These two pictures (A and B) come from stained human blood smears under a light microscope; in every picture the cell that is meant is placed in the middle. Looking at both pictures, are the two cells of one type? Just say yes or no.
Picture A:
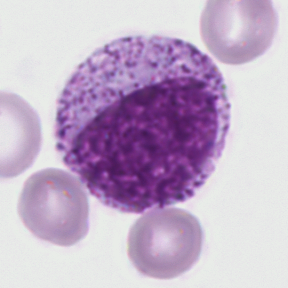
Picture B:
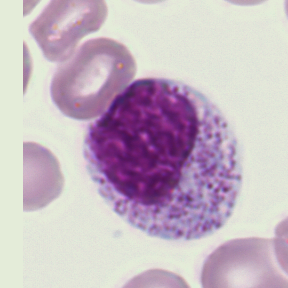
yes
